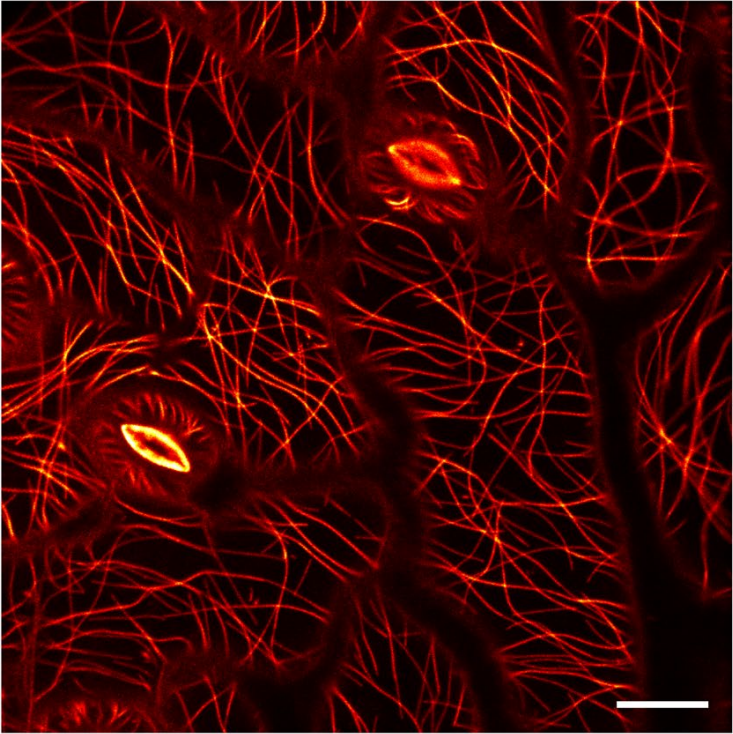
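This is the leaf epidermis with pavement cells and two stomata, each formed by a pair of guard cells. Each cell contains a dense network of long, thin, wavy fluorescent filaments running in many directions beneath the surface. Around each stomatal pore the guard cells show bright signal lining the slit, with filaments radiating outward from the pore like spokes. Darker bands between the filament networks mark the borders between neighbouring cells.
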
